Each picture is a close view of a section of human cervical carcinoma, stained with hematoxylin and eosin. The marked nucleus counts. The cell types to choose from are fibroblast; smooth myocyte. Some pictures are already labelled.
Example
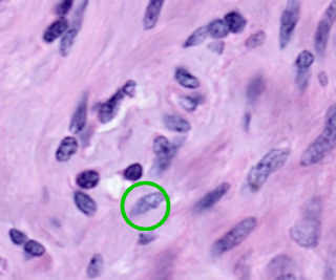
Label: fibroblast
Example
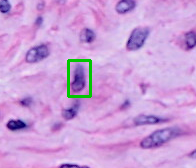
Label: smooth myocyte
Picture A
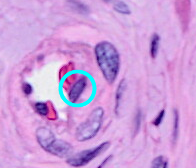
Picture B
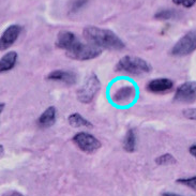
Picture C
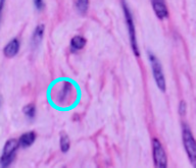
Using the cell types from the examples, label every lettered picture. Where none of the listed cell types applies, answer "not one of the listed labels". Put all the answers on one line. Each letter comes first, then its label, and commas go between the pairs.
A not one of the listed labels, B fibroblast, C smooth myocyte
